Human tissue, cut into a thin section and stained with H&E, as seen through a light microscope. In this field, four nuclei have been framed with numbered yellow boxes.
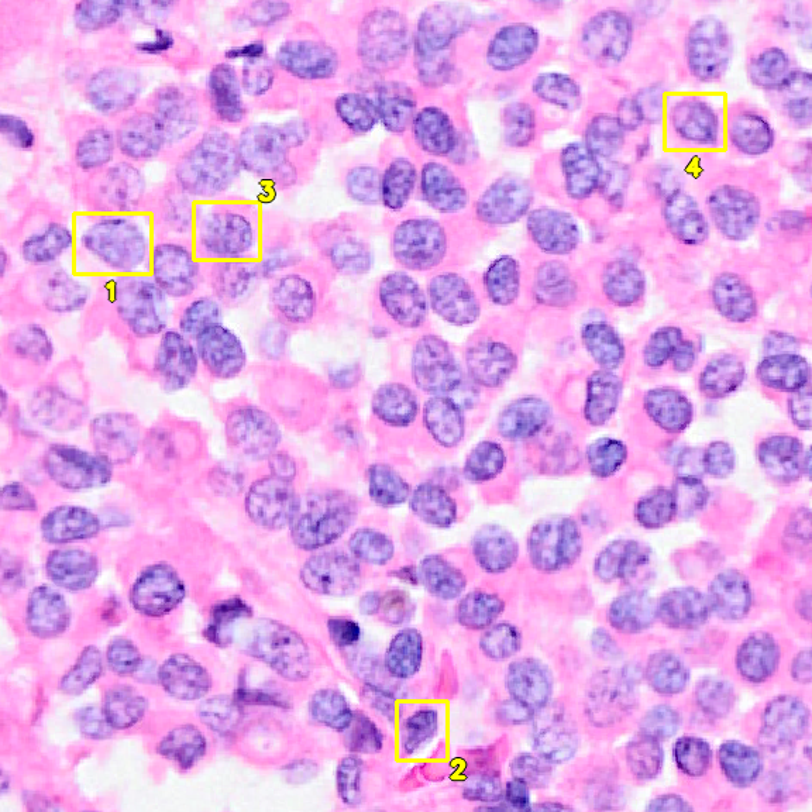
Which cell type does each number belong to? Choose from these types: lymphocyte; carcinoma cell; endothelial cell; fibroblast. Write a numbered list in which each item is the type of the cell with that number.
1. carcinoma cell
2. endothelial cell
3. carcinoma cell
4. carcinoma cell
